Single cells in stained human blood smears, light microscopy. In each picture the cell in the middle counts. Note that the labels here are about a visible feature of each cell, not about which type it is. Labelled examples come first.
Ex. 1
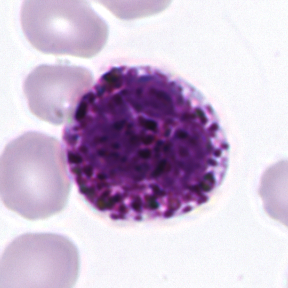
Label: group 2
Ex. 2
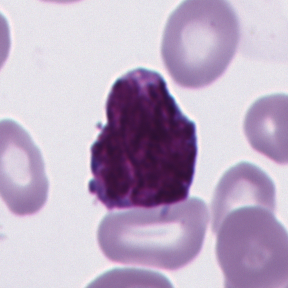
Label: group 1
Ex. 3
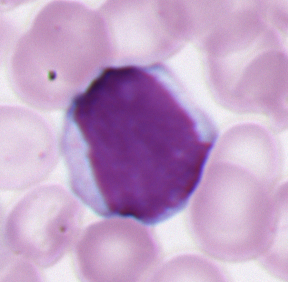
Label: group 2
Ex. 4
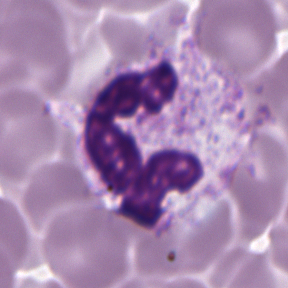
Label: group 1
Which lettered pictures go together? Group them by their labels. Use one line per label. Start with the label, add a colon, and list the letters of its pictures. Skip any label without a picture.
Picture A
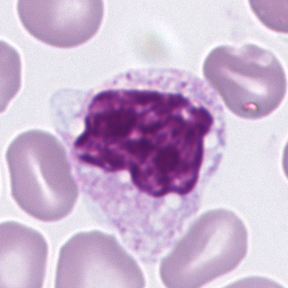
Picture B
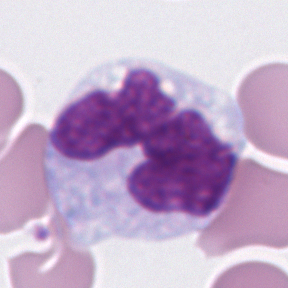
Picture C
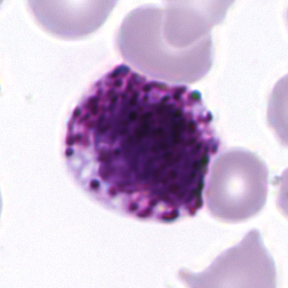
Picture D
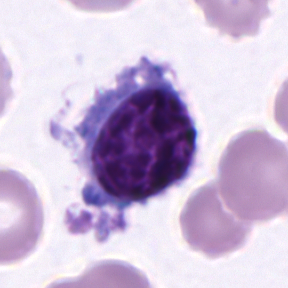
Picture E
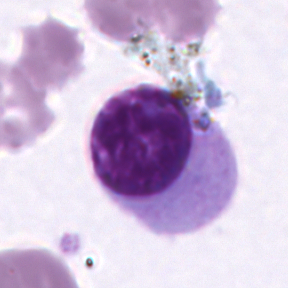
group 2: B, C, E
group 1: A, D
